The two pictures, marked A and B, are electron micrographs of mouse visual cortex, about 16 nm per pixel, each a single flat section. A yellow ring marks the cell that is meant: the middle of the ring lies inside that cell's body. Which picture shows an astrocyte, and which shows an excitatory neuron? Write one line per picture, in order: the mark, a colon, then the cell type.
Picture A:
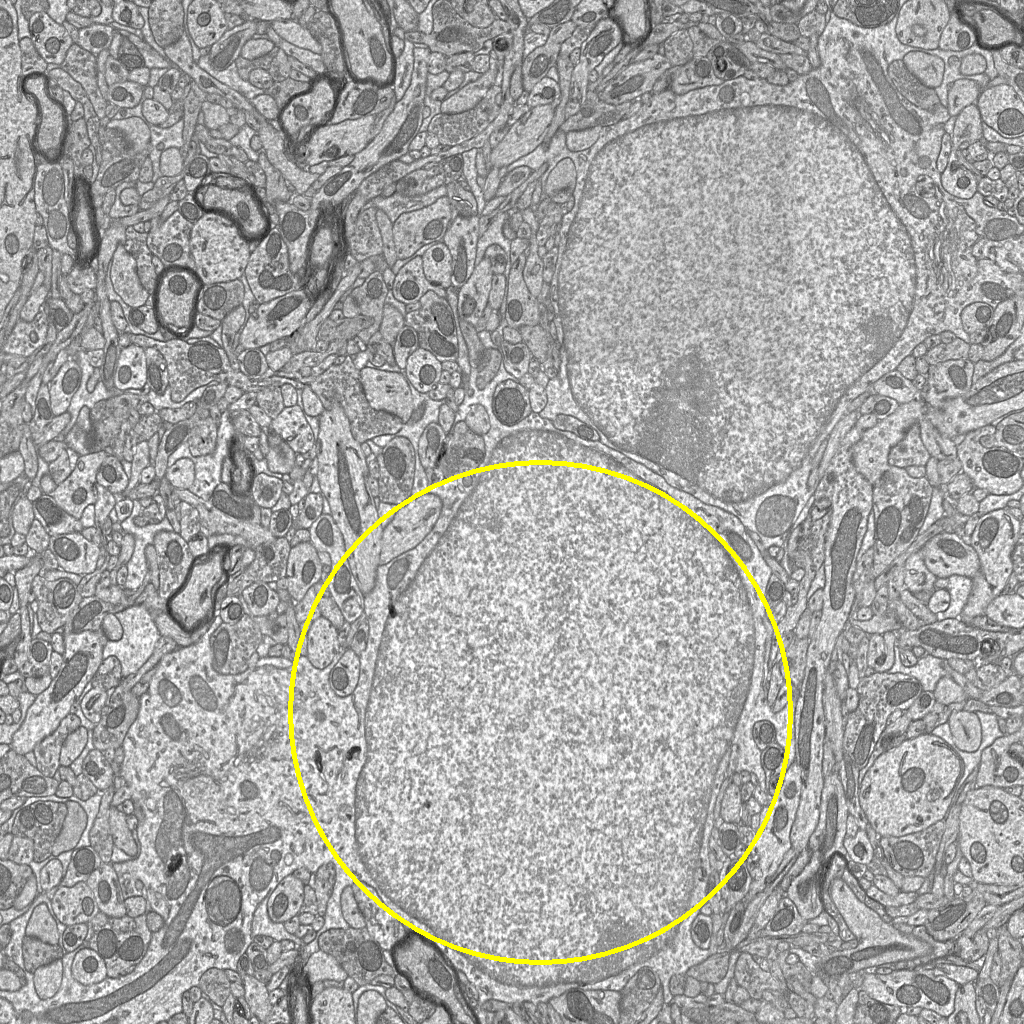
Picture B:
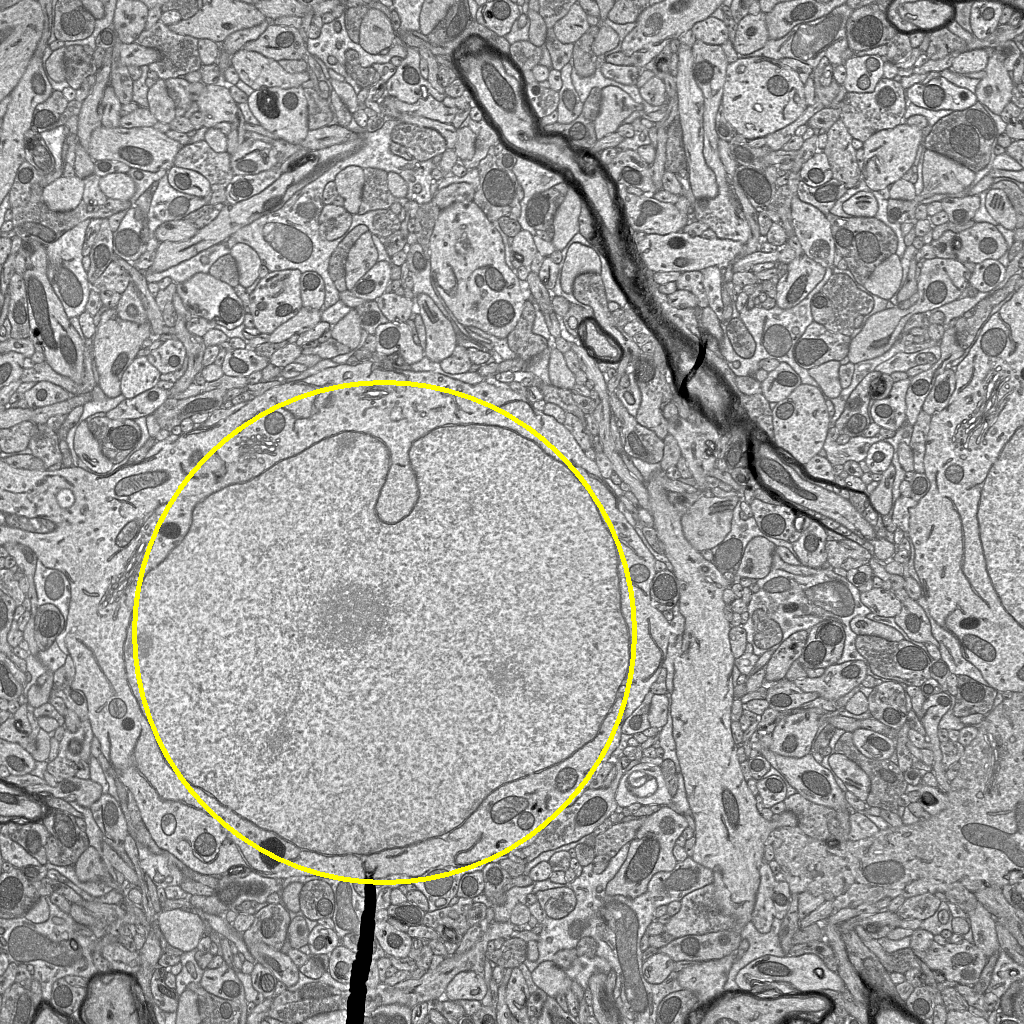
A: astrocyte
B: excitatory neuron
